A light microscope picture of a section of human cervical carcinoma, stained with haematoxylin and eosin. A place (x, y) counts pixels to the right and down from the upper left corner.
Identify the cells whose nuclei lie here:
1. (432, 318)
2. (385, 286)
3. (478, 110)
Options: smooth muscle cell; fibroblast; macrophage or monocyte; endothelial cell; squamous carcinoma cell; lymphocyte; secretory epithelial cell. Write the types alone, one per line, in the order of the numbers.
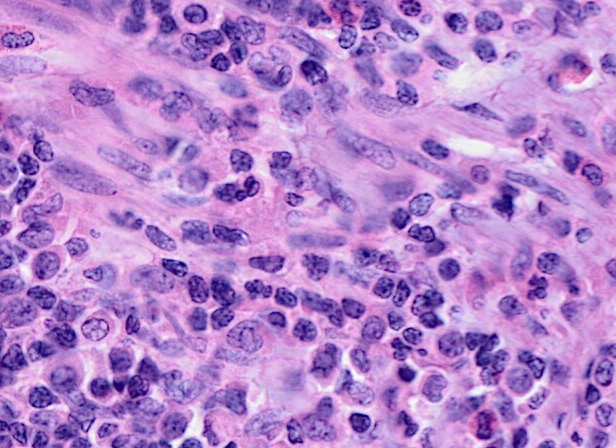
lymphocyte
lymphocyte
fibroblast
